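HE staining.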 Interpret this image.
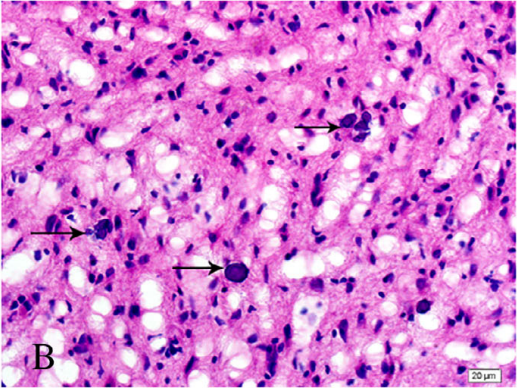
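This is glioma tissue, densely cellular, with many purple nuclei set in a pink fibrillary matrix riddled with clear round vacuoles. The nuclei vary from elongated and spindle-like to irregular and angular, with no orderly arrangement. A few nuclei are much darker and denser than the rest, some clumped or lobed. This variation in nuclear size and shape reflects pleomorphism, and the crowding suggests actively proliferating tumour cells.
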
